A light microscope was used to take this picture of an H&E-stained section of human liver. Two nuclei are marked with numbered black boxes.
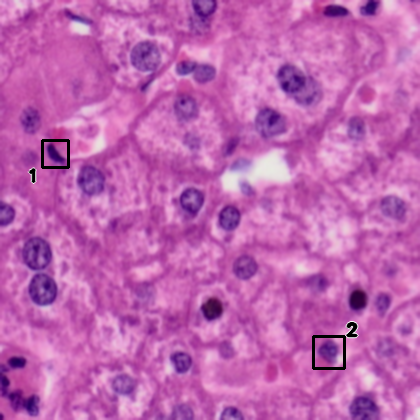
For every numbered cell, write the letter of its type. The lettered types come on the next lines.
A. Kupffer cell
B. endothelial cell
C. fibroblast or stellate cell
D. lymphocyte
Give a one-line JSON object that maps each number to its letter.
{"1": "C", "2": "B"}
